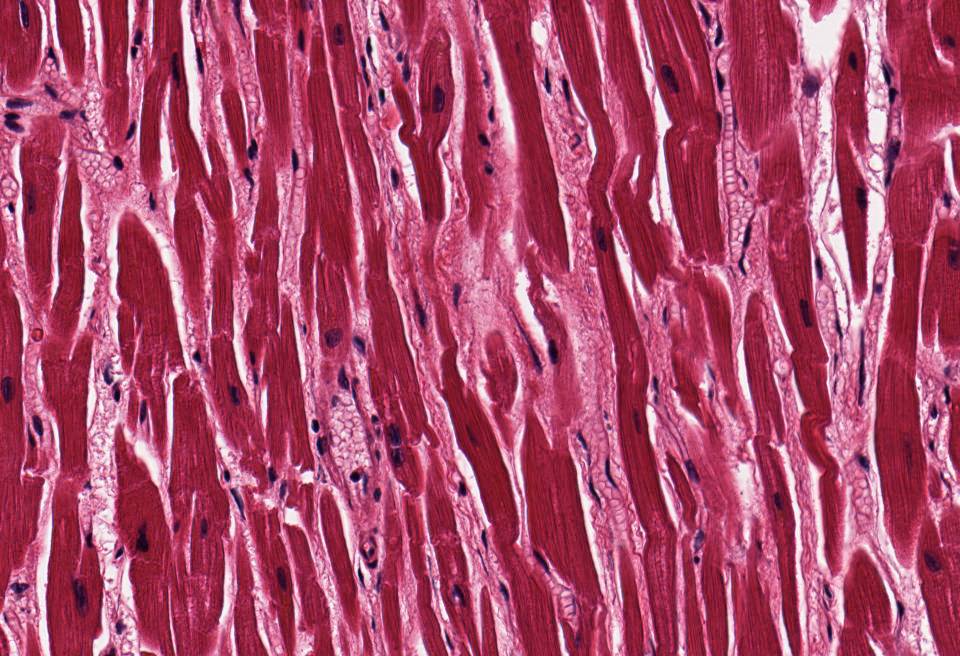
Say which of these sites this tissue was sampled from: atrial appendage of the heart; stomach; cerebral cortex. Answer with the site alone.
atrial appendage of the heart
